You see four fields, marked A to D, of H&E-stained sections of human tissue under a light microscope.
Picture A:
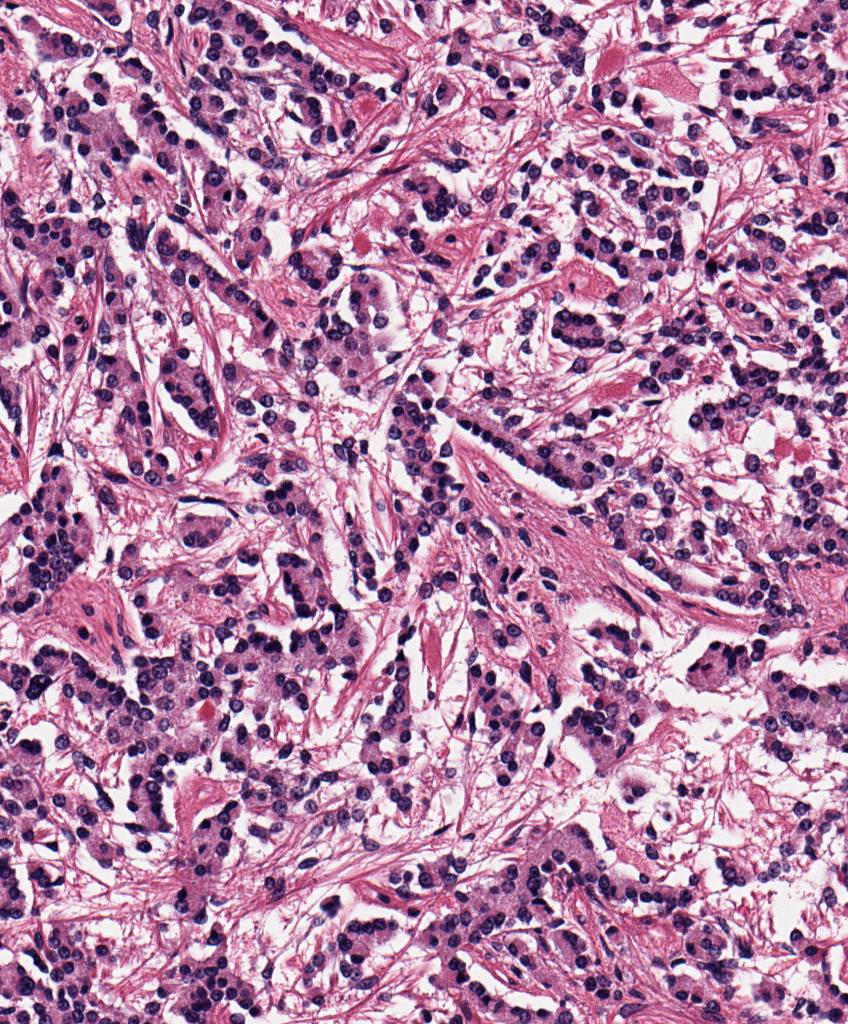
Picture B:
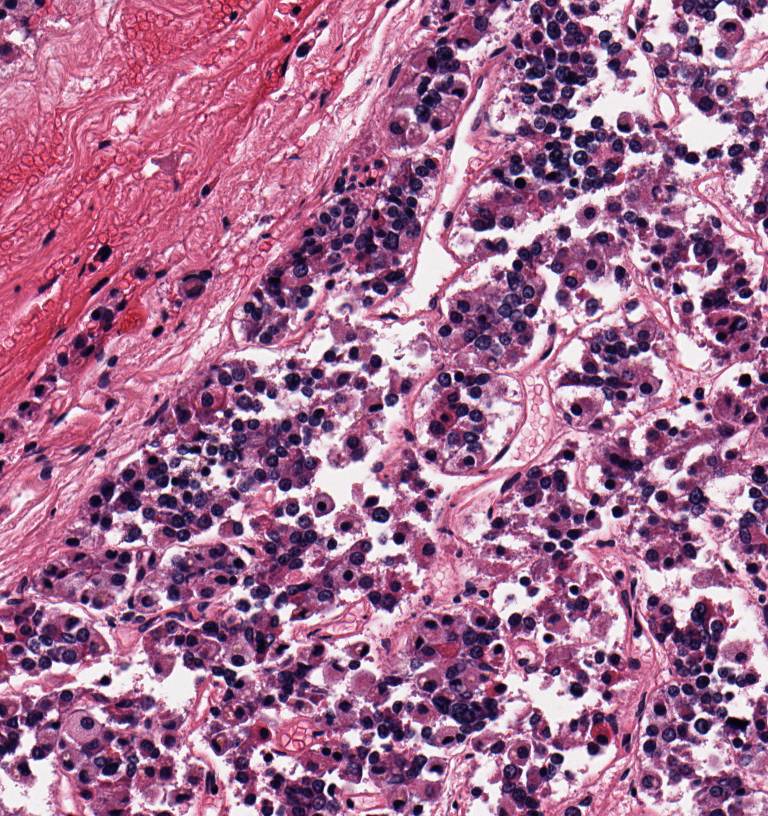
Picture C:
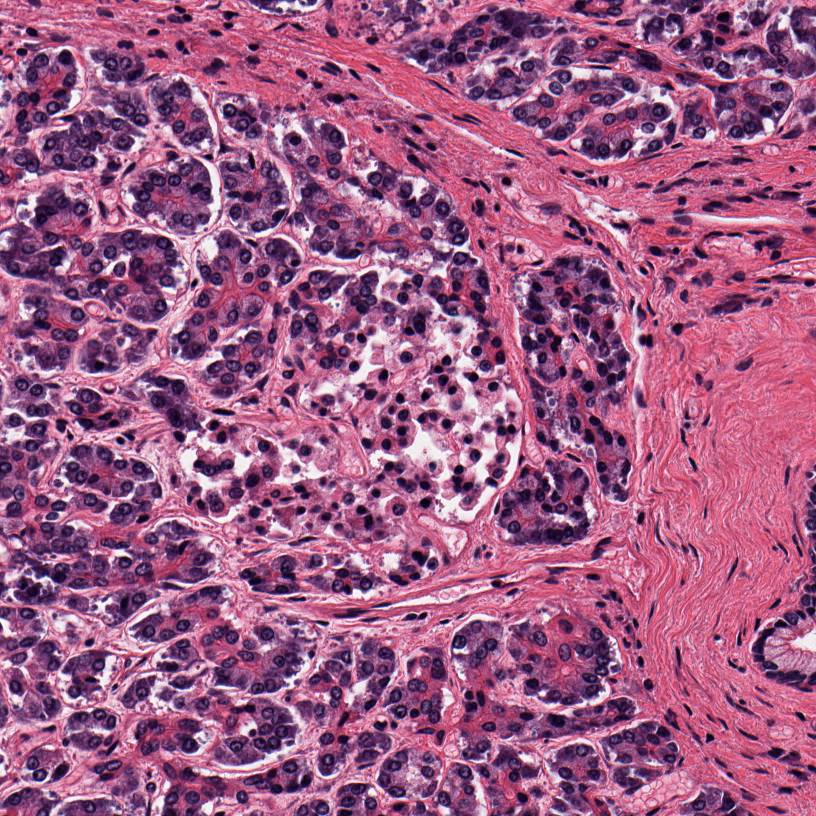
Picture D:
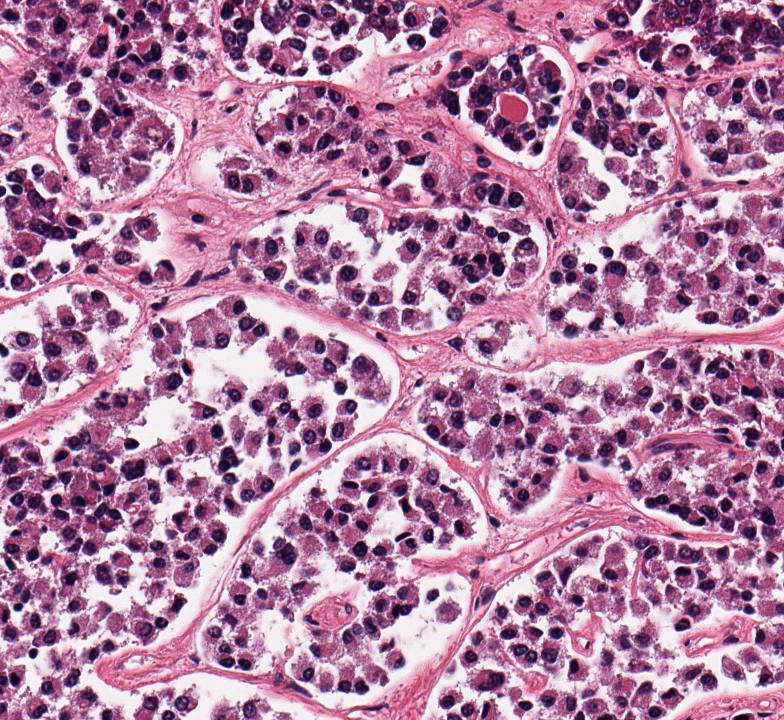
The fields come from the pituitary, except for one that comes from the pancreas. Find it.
C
